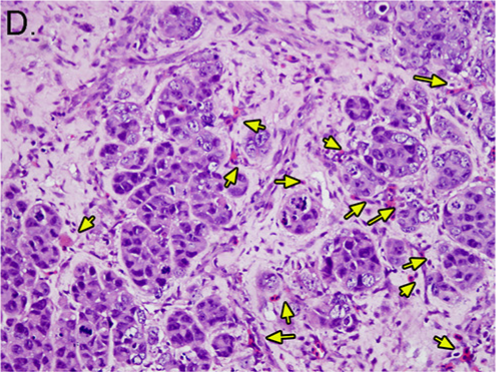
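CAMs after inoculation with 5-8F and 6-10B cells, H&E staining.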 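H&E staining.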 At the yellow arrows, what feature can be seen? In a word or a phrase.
Blood vessels with nucleated erythrocytes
